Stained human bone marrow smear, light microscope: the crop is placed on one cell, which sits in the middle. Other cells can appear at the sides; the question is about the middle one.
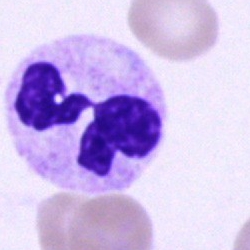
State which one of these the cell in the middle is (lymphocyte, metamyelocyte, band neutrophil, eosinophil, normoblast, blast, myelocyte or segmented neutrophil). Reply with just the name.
segmented neutrophil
